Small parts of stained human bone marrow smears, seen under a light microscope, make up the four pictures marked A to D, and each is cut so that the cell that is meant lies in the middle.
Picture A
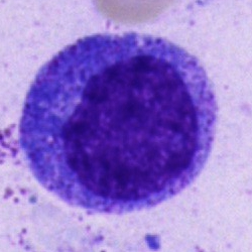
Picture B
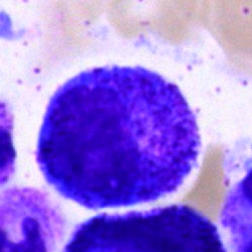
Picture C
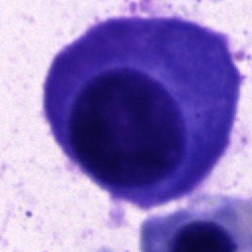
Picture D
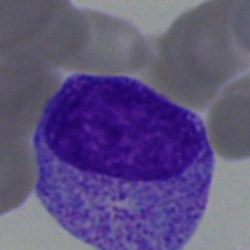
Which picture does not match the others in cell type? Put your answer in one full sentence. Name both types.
Picture C differs, because its cell is a plasma cell and the rest are promyelocytes.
